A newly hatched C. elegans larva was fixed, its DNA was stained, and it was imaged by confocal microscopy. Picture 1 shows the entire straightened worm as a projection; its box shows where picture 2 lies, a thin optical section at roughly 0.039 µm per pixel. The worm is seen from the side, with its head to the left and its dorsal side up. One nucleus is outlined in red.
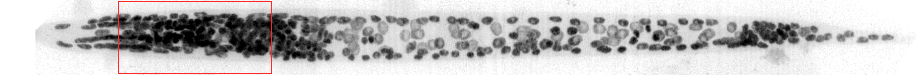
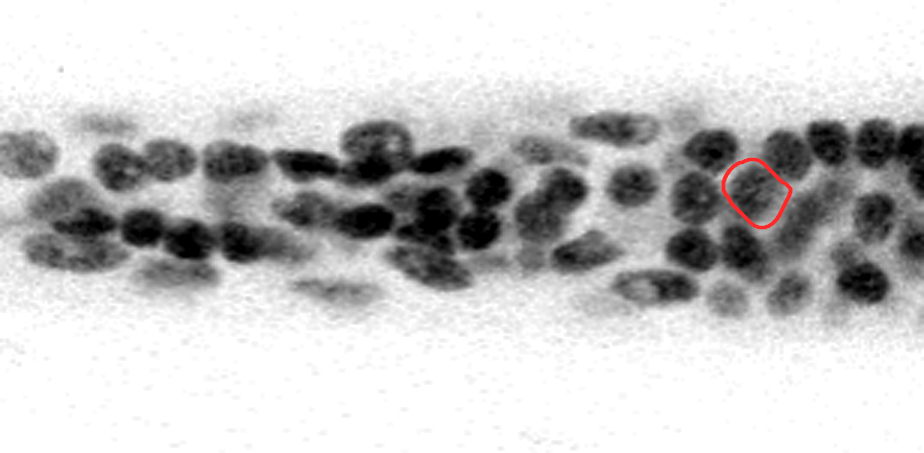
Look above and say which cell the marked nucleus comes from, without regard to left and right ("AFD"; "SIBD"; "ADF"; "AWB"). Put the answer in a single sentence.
The marked cell is AFD, a neuron.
